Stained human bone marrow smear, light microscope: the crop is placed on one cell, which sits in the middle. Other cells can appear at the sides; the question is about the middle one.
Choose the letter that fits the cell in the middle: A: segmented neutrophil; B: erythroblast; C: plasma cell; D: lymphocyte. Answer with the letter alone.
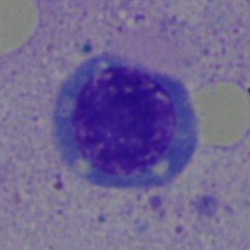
B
